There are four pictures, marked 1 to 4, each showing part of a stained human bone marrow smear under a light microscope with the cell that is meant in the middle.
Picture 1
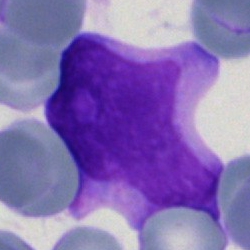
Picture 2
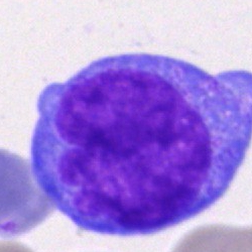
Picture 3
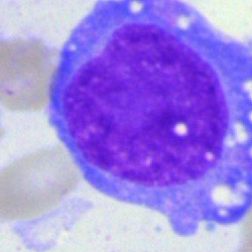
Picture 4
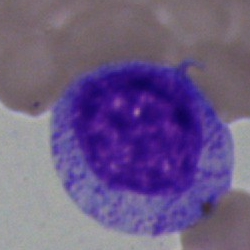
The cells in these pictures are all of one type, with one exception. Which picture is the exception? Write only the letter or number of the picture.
4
